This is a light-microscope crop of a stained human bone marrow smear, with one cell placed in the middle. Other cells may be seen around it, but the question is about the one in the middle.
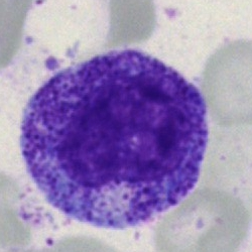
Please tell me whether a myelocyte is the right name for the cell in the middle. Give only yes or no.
yes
